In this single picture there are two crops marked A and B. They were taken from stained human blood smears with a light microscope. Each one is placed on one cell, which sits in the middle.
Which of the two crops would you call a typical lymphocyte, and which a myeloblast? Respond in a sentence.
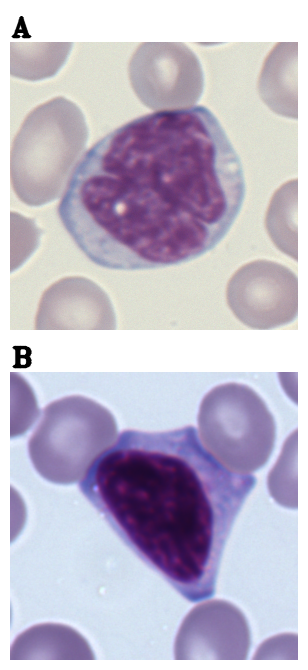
Within crop A sits a myeloblast, and within crop B sits a typical lymphocyte.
